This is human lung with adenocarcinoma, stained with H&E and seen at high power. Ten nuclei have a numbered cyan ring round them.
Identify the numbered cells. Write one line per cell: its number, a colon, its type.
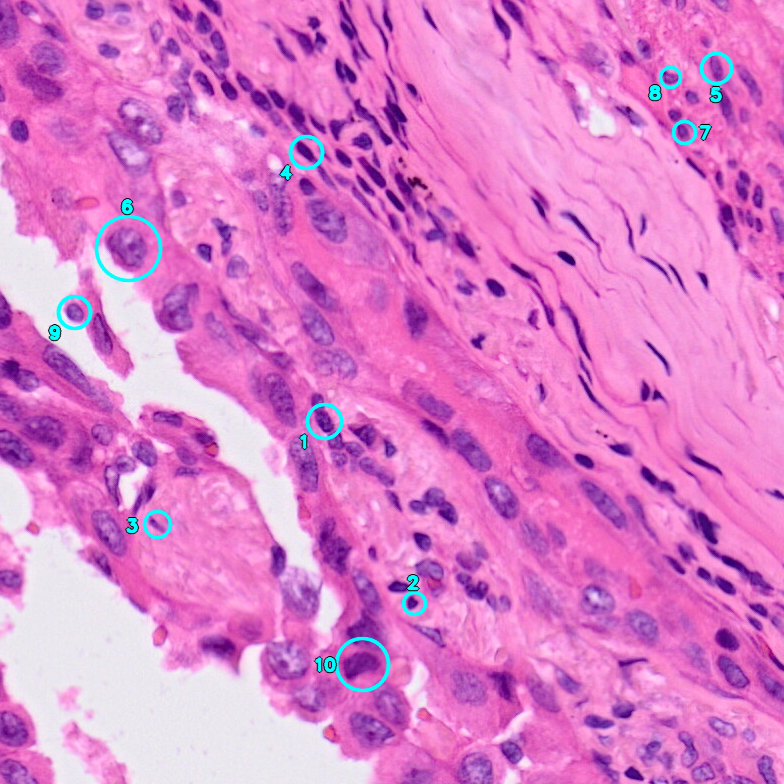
1: lymphocyte
2: lymphocyte
3: fibroblast
4: lymphocyte
5: smooth muscle cell or pericyte
6: carcinoma cell
7: smooth muscle cell or pericyte
8: smooth muscle cell or pericyte
9: lymphocyte
10: carcinoma cell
